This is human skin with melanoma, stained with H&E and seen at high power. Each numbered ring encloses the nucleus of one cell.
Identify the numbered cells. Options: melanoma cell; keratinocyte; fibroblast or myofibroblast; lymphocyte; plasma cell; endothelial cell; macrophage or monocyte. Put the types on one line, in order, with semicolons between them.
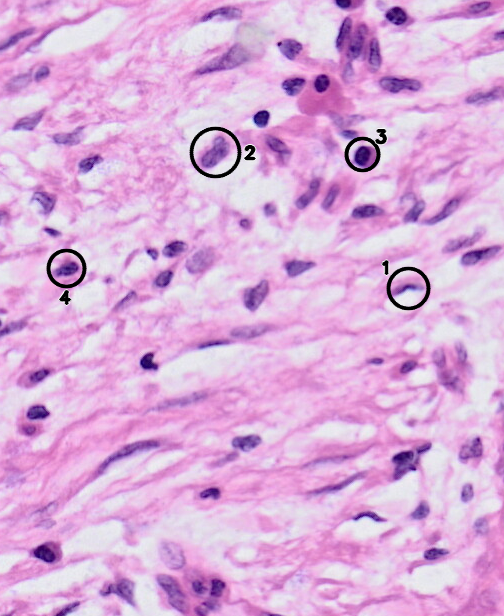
fibroblast or myofibroblast; macrophage or monocyte; plasma cell; lymphocyte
